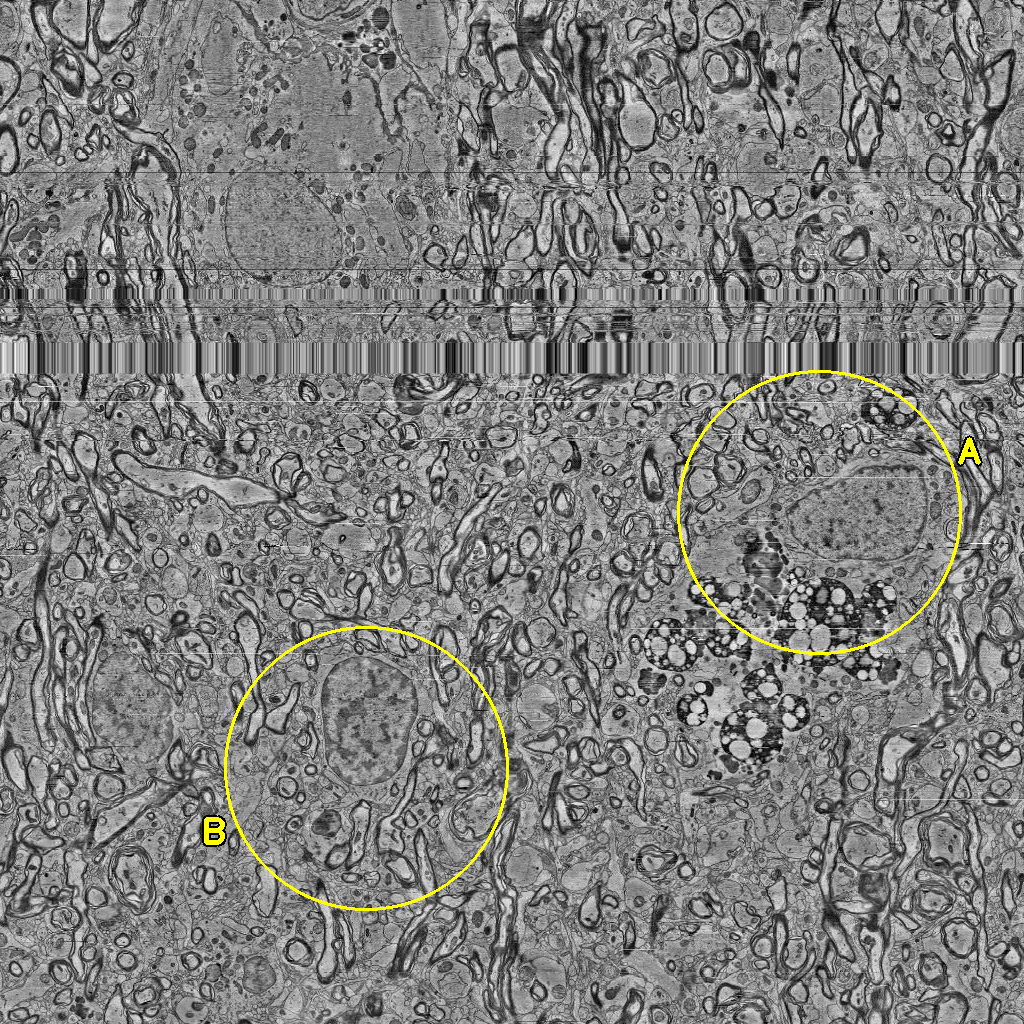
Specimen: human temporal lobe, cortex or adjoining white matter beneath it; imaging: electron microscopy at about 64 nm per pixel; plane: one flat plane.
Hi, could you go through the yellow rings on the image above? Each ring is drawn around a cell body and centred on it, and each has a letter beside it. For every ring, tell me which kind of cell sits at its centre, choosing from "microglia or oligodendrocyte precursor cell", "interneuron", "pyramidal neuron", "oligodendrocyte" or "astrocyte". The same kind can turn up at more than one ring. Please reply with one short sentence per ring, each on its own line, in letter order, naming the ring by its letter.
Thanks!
Ring A is centred on an astrocyte.
Ring B is centred on a microglial cell or oligodendrocyte precursor cell.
